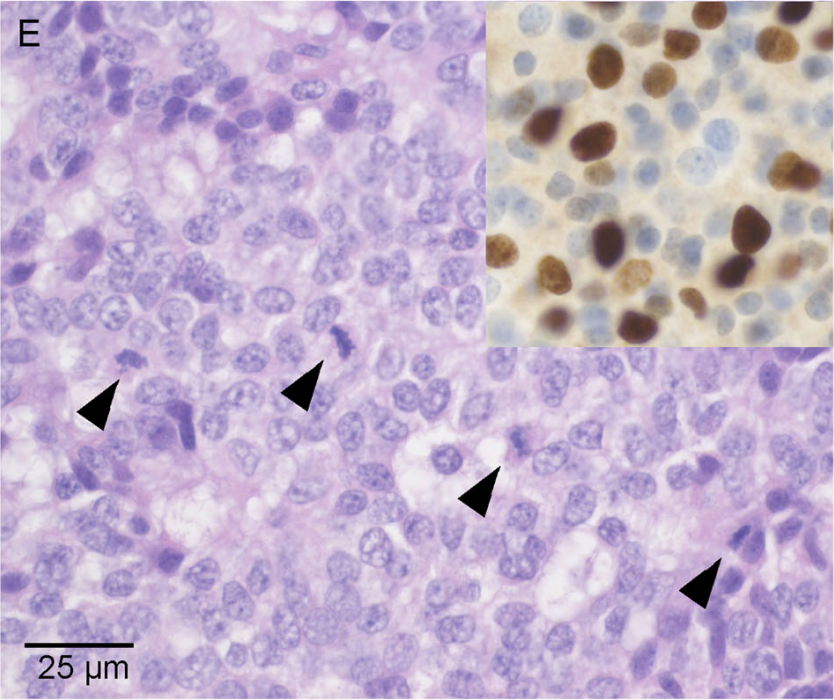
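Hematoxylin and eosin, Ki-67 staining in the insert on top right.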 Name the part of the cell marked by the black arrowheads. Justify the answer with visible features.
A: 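Each arrowhead points to a small dark, irregular clump of condensed chromatin. These dark clumps lack the round outline and open chromatin of the surrounding nuclei. The answer: mitotic figures.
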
